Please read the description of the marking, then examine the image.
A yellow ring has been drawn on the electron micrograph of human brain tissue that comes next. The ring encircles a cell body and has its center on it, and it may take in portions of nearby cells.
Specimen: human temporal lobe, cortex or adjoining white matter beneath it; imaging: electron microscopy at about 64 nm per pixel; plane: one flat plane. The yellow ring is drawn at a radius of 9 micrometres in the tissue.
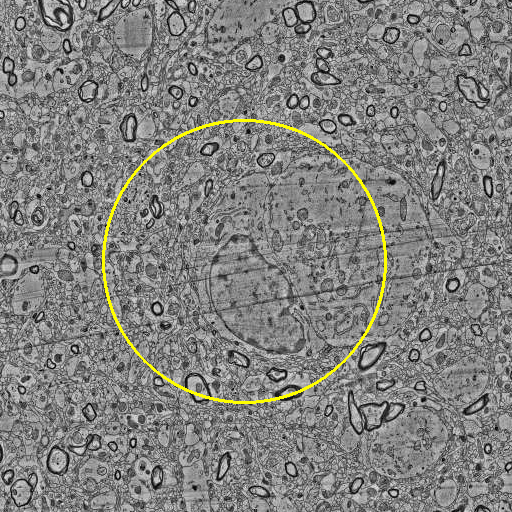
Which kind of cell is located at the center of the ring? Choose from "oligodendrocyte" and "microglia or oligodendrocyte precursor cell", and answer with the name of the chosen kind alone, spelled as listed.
microglia or oligodendrocyte precursor cell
